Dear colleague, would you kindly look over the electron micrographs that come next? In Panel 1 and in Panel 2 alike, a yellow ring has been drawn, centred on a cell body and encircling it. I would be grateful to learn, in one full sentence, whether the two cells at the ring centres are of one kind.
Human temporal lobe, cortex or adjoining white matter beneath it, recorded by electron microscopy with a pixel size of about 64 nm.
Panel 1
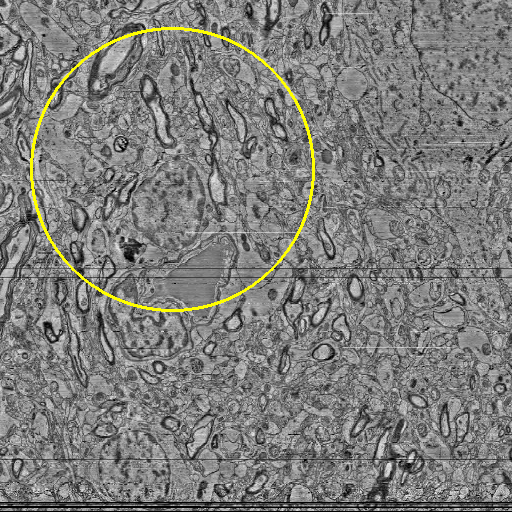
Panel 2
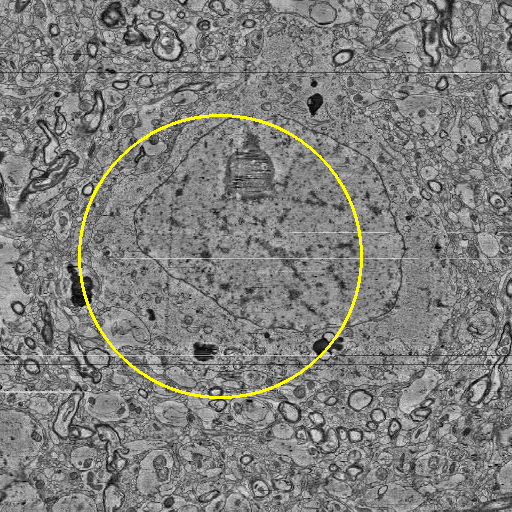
No, the cells in the middle of the rings in the two panels are of two kinds.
